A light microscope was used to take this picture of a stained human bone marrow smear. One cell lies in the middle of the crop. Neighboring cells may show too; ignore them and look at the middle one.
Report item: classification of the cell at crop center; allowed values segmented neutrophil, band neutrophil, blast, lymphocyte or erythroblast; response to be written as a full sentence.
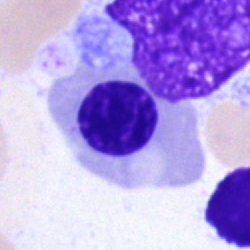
The middle of this crop holds an erythroblast.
